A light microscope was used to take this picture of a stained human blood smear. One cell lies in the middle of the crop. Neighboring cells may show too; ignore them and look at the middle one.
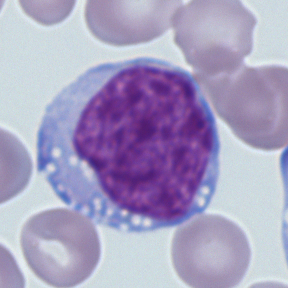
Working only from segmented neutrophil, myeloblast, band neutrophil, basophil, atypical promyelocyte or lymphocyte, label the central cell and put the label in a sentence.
The middle of this crop holds a myeloblast.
